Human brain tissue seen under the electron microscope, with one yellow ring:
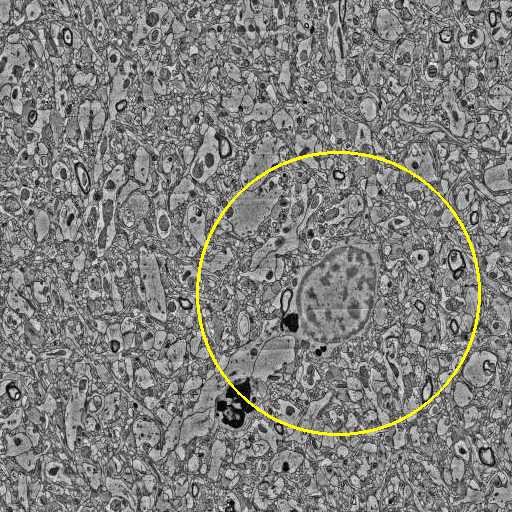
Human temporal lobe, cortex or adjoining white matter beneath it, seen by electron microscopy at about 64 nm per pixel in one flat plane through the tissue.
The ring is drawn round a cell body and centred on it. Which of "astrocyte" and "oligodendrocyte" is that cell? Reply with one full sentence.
The picture shows an oligodendrocyte at the very centre of the yellow ring.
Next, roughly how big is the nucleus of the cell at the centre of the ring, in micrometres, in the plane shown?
In this plane, the nucleus is roughly 6 by 5 micrometres.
